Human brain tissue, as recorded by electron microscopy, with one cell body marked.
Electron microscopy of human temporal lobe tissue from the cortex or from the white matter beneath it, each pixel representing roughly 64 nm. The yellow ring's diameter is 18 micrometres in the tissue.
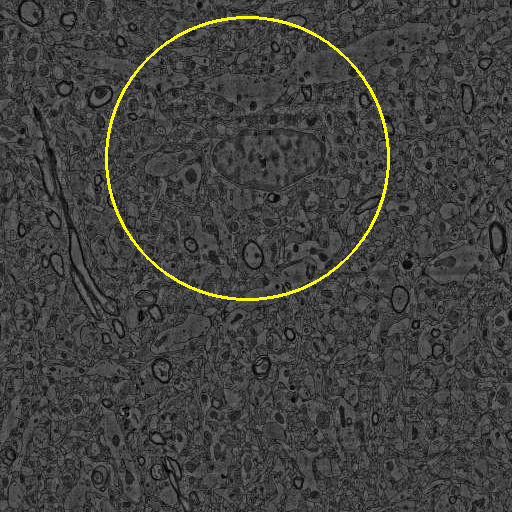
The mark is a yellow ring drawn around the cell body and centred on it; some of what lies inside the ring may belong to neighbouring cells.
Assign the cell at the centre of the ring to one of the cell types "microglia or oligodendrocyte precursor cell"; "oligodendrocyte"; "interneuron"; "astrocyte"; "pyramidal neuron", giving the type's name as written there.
microglia or oligodendrocyte precursor cell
